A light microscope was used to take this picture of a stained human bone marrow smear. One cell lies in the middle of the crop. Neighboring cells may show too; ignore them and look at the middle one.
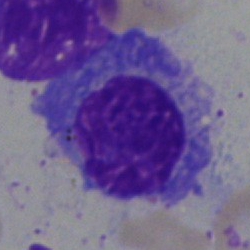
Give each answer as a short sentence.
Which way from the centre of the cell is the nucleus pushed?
Toward the bottom of the cell lies its nucleus.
